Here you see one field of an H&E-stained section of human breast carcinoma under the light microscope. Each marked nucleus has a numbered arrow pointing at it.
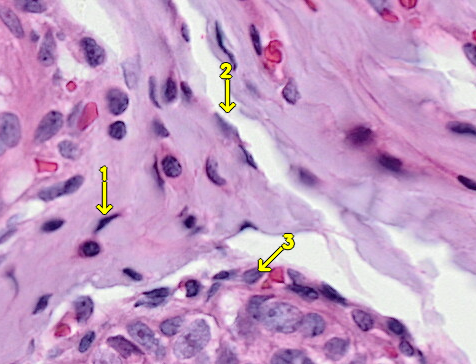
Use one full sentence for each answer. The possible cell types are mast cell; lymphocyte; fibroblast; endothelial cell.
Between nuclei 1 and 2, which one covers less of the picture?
Nucleus 1 is the smaller one; nucleus 2 covers about 1.5 times its area.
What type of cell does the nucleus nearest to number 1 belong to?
The nucleus nearest to number 1 is that of a mast cell.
